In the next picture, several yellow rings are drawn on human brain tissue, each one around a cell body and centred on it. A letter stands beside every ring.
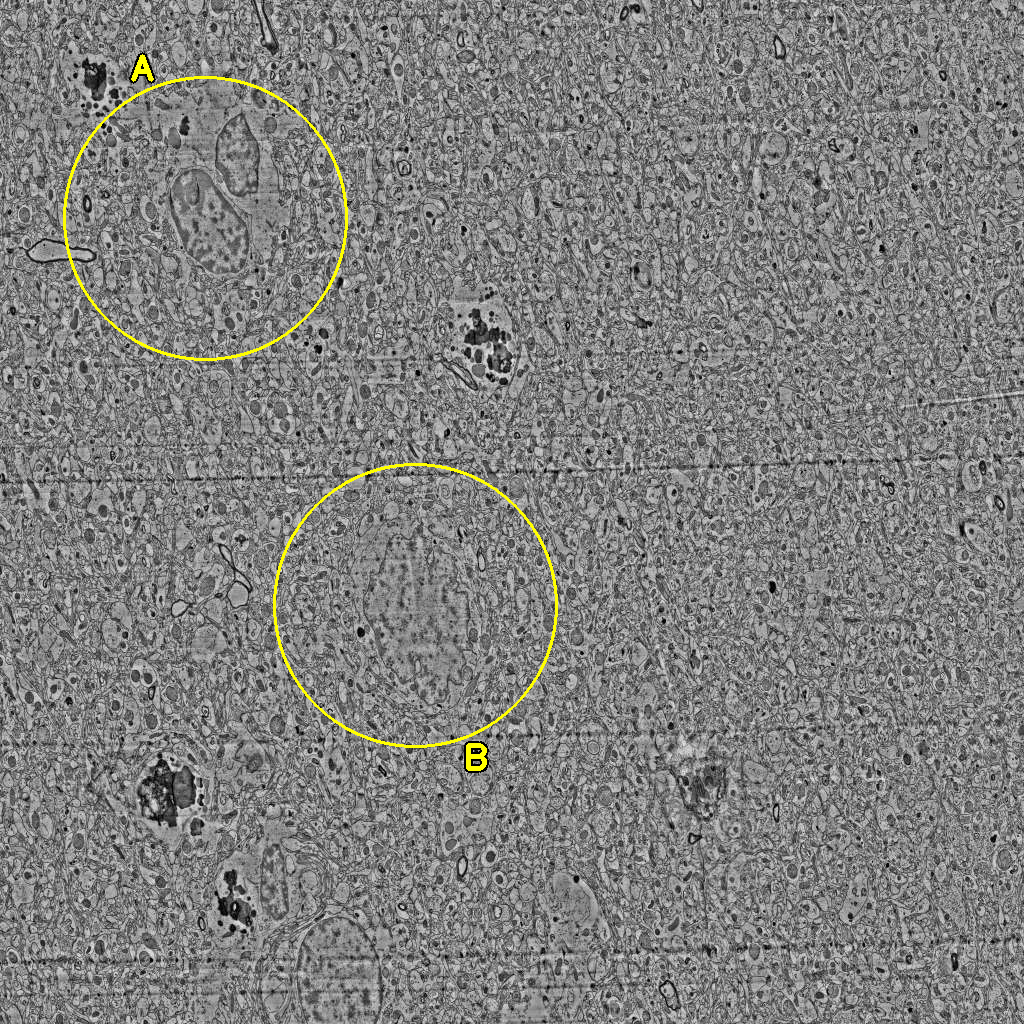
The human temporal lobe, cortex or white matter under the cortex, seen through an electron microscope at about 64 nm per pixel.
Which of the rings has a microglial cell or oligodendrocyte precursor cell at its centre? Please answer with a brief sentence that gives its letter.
Ring A has it at its centre.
